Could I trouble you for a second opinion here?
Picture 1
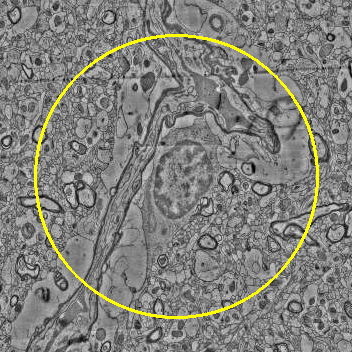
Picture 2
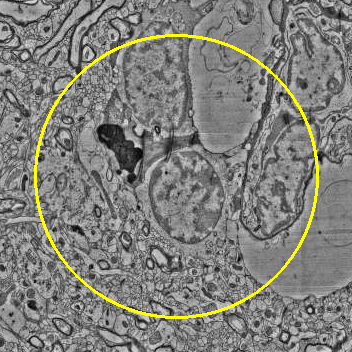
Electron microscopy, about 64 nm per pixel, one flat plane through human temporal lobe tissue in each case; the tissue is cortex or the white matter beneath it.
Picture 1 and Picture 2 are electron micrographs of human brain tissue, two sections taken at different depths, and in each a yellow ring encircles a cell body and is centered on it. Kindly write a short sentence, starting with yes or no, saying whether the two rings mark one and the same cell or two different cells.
No, the cells within these rings are two separate cells.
